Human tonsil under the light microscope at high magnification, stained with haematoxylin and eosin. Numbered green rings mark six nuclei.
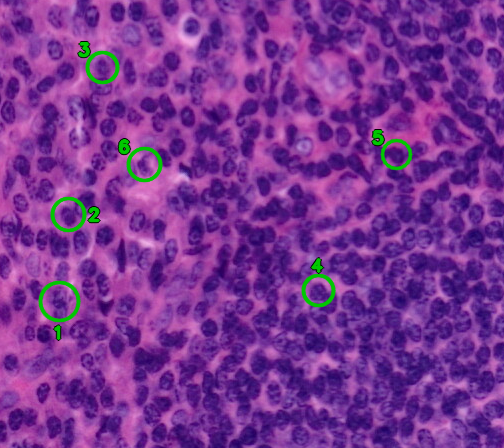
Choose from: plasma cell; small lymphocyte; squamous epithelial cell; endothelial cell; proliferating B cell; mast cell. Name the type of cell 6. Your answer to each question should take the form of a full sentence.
The expected answer is that cell 6 is an endothelial cell.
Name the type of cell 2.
The cell identified by the number 2 is a plasma cell.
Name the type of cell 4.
Number 4 is placed on a small lymphocyte here.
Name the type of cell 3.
Among the marked nuclei, number 3 belongs to a plasma cell.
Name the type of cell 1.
The marked nucleus 1 is that of a plasma cell.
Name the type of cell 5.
Denoted by the label 5 in the section is a small lymphocyte.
